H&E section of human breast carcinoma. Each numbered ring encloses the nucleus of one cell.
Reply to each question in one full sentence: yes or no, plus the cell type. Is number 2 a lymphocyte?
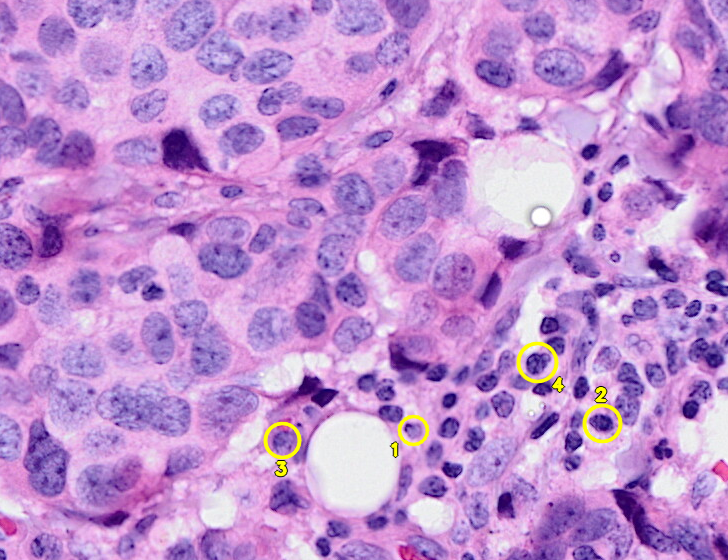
Yes, in this section the cell with number 2 is a lymphocyte.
